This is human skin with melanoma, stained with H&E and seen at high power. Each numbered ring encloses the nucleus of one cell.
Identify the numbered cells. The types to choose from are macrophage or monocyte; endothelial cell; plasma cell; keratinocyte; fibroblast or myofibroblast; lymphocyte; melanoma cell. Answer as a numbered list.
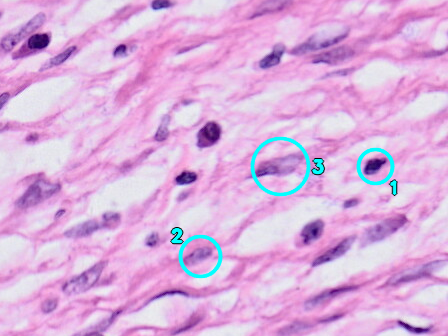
1. lymphocyte
2. macrophage or monocyte
3. fibroblast or myofibroblast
